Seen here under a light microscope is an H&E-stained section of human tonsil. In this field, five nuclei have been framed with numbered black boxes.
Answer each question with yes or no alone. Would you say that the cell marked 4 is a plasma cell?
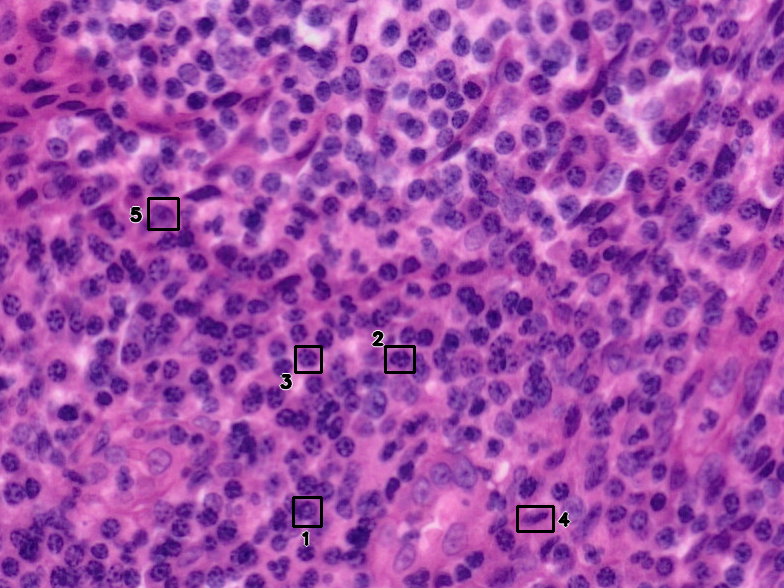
no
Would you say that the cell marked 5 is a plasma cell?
no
